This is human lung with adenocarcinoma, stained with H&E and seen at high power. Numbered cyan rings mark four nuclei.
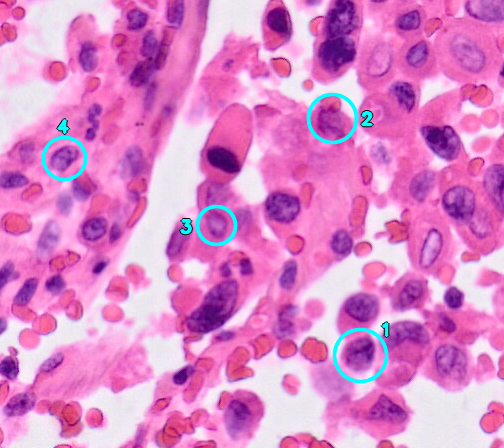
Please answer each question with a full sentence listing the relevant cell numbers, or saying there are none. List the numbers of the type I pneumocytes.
Cell 4 is a type I pneumocyte, while all remaining marked cells are of other types.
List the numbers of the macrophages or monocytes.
Here, the cells that carry numbers 2 and 3 are macrophages or monocytes.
